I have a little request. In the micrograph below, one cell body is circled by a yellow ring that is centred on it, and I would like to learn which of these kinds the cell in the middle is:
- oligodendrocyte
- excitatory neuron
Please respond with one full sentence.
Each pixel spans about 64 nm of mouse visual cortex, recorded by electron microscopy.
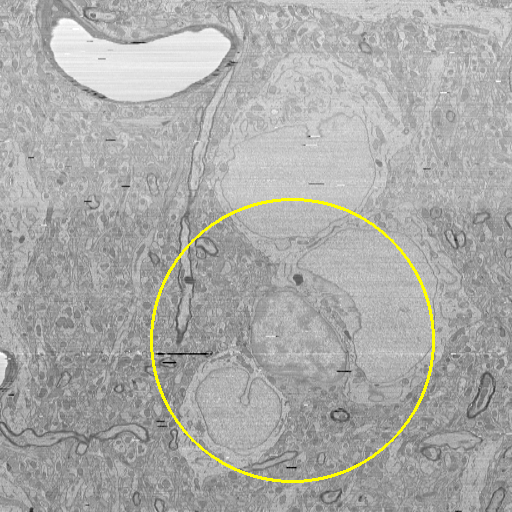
The cell sitting in the middle of the yellow ring in the micrograph is an oligodendrocyte.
